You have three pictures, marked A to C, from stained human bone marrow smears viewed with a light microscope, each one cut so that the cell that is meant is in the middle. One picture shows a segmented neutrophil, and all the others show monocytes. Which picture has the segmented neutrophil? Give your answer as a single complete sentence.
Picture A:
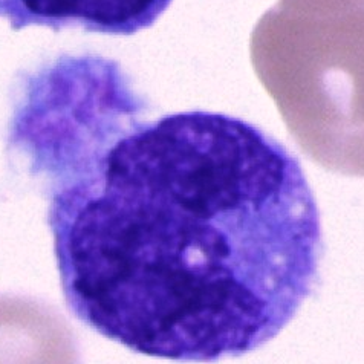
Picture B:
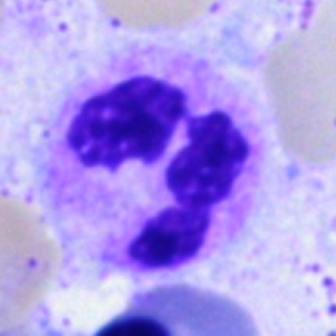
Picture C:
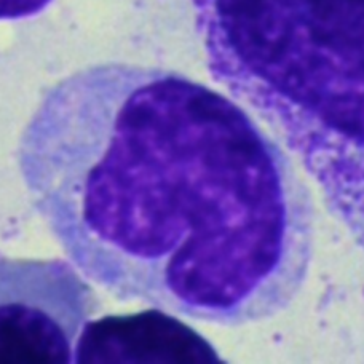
The cell in picture B is the segmented neutrophil.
